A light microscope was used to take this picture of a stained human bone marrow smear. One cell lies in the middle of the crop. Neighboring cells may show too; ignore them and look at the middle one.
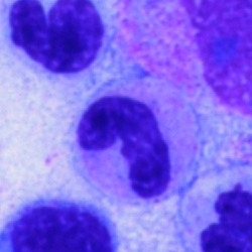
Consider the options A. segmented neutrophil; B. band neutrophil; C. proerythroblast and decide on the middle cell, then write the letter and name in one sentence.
It is a segmented neutrophil that occupies the centre of the crop, so option A is correct.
